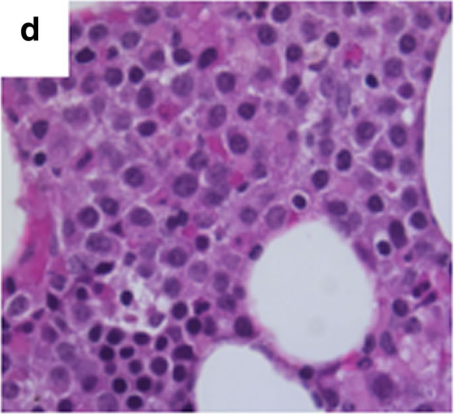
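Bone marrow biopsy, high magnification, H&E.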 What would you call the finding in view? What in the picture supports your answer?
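Sheets of closely packed round cells fill the space between fat vacuoles. The cells have round, often eccentric nuclei with coarse chromatin. The cells have ample purple-pink cytoplasm. That points to this answer: plasma cell infiltrate.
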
